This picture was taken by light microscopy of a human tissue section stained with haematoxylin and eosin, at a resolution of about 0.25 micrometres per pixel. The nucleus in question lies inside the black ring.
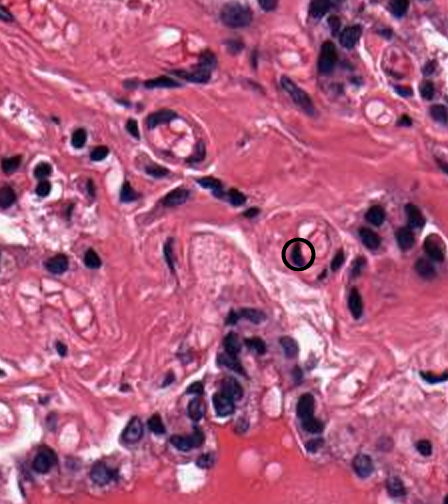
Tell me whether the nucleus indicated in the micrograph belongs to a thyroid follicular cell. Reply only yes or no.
no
